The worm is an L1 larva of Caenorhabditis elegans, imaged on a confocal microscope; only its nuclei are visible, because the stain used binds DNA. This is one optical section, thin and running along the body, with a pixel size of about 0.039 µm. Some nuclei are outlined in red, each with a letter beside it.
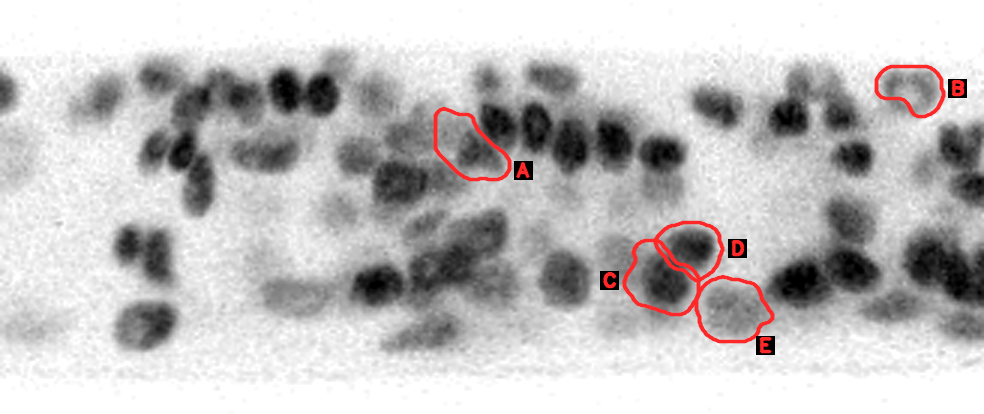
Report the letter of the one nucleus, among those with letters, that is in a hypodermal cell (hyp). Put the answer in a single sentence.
The nucleus of a hypodermal cell (hyp) is B.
